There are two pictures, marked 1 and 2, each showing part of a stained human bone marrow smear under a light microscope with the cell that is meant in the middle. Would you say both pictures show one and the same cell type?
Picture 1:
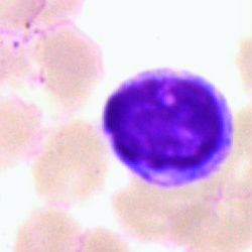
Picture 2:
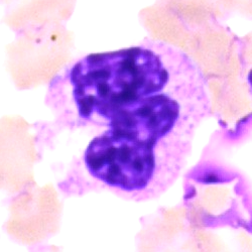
no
